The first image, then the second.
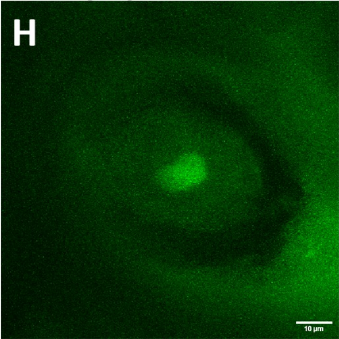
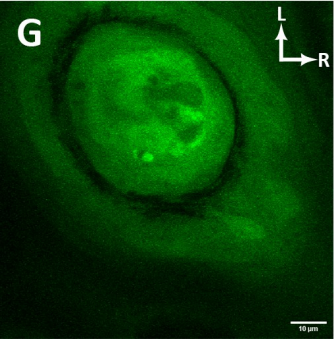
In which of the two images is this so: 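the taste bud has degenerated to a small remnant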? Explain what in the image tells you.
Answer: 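The first image. First image: only a small bright green blob lies in a dim oval area. Second image: a large rounded cluster of green cells with internal dark holes fills the centre.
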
